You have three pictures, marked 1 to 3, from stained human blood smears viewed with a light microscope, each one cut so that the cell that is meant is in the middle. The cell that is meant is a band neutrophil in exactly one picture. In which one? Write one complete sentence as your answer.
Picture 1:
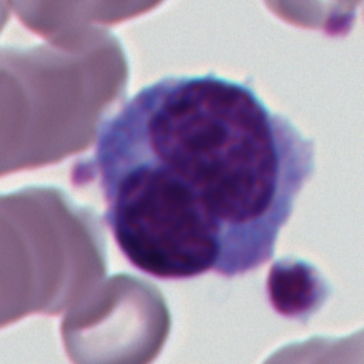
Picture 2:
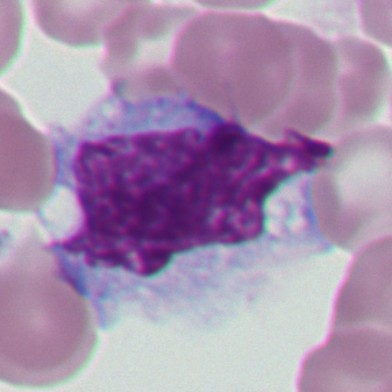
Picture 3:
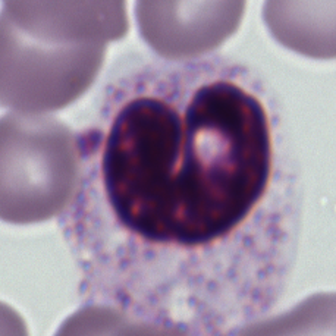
The picture with the band neutrophil is 3.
